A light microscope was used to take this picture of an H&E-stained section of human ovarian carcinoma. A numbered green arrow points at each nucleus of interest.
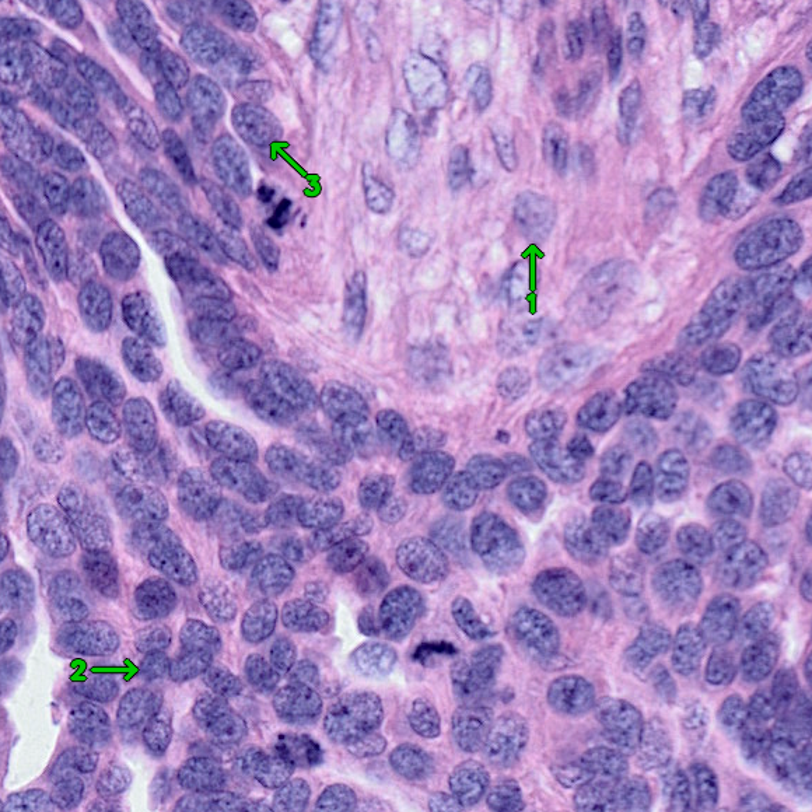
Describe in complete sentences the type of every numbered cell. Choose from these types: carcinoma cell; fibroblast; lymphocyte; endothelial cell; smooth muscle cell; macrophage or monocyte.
Cell 1 is a fibroblast. Cells 2 and 3 are carcinoma cells.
